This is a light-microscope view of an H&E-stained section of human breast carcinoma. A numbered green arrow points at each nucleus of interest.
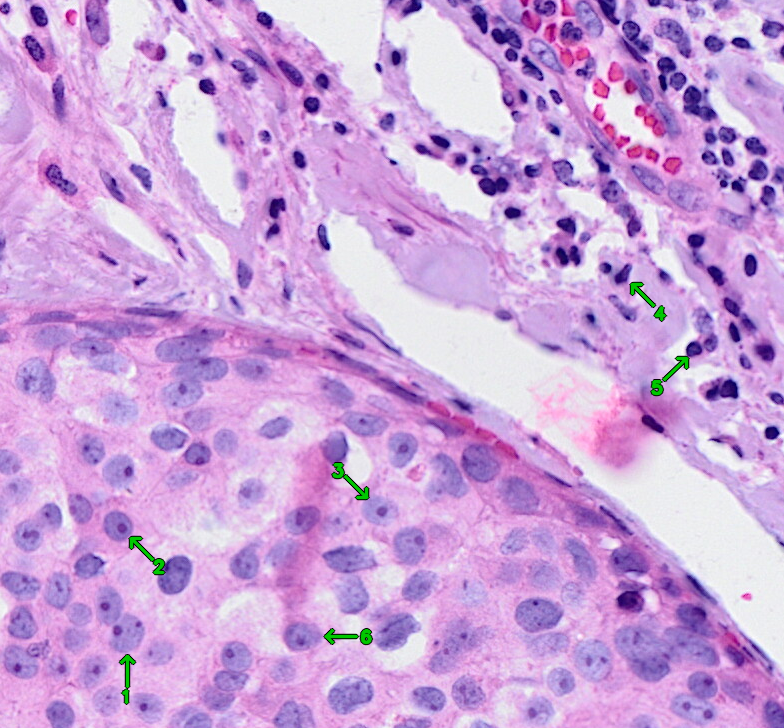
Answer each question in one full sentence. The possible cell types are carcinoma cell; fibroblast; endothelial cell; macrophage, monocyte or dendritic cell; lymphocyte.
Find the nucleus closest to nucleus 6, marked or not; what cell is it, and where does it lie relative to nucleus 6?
It is a carcinoma cell, whose nucleus lies below and to the left of nucleus 6.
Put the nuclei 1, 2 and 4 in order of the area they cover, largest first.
By area, largest first, they run 1, 2, 4.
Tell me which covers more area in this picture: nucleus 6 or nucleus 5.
At about 4 times the area of nucleus 5, nucleus 6 is the larger of the two.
